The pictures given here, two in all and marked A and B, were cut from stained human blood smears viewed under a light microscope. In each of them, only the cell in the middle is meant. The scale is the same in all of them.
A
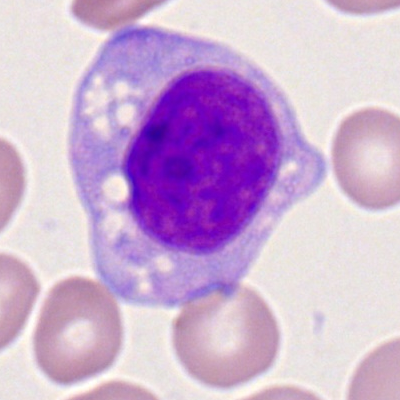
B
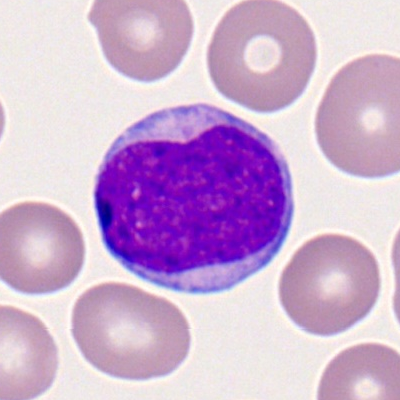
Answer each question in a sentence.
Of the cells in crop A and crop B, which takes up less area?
The cell in crop B is smaller; the one in crop A has about 1.5 times its area.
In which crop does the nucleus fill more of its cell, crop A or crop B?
It is the cell in crop B that is filled more by its nucleus.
